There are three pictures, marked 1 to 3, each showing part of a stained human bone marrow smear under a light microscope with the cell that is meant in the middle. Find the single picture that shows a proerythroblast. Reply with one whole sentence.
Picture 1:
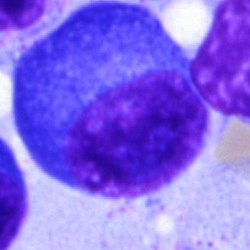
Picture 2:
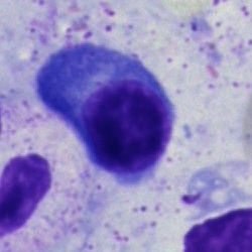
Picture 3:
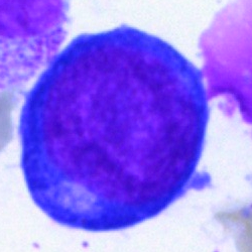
The picture with the proerythroblast is 3.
